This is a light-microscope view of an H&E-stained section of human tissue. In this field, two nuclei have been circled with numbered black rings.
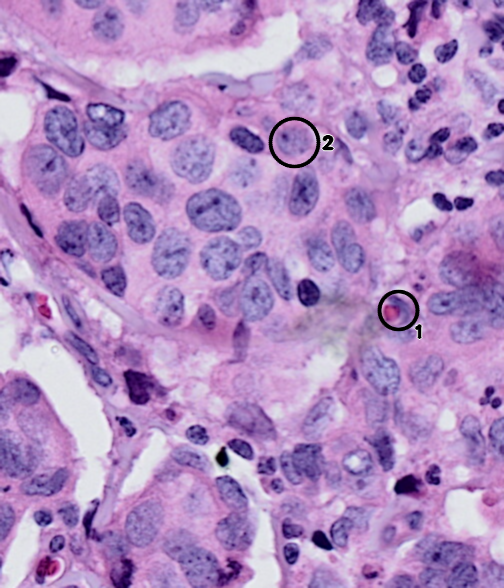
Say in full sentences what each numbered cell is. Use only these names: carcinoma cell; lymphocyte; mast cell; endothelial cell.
Cell 1 is an endothelial cell. Cell 2 is a carcinoma cell.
